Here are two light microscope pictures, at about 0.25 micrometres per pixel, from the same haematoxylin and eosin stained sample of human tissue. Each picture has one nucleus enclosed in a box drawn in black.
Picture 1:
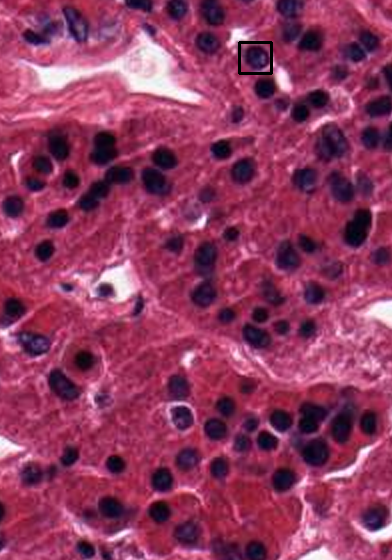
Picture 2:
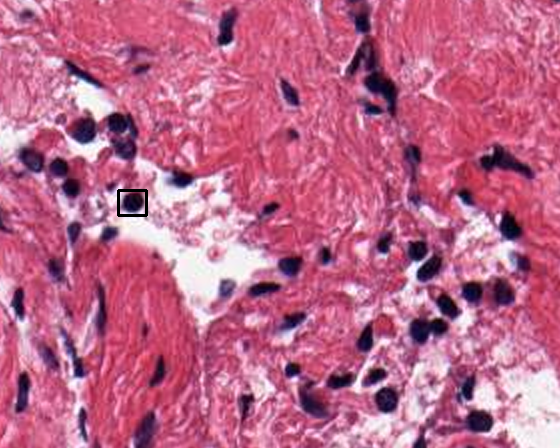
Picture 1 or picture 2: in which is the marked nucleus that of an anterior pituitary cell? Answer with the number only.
1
